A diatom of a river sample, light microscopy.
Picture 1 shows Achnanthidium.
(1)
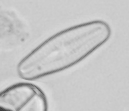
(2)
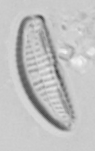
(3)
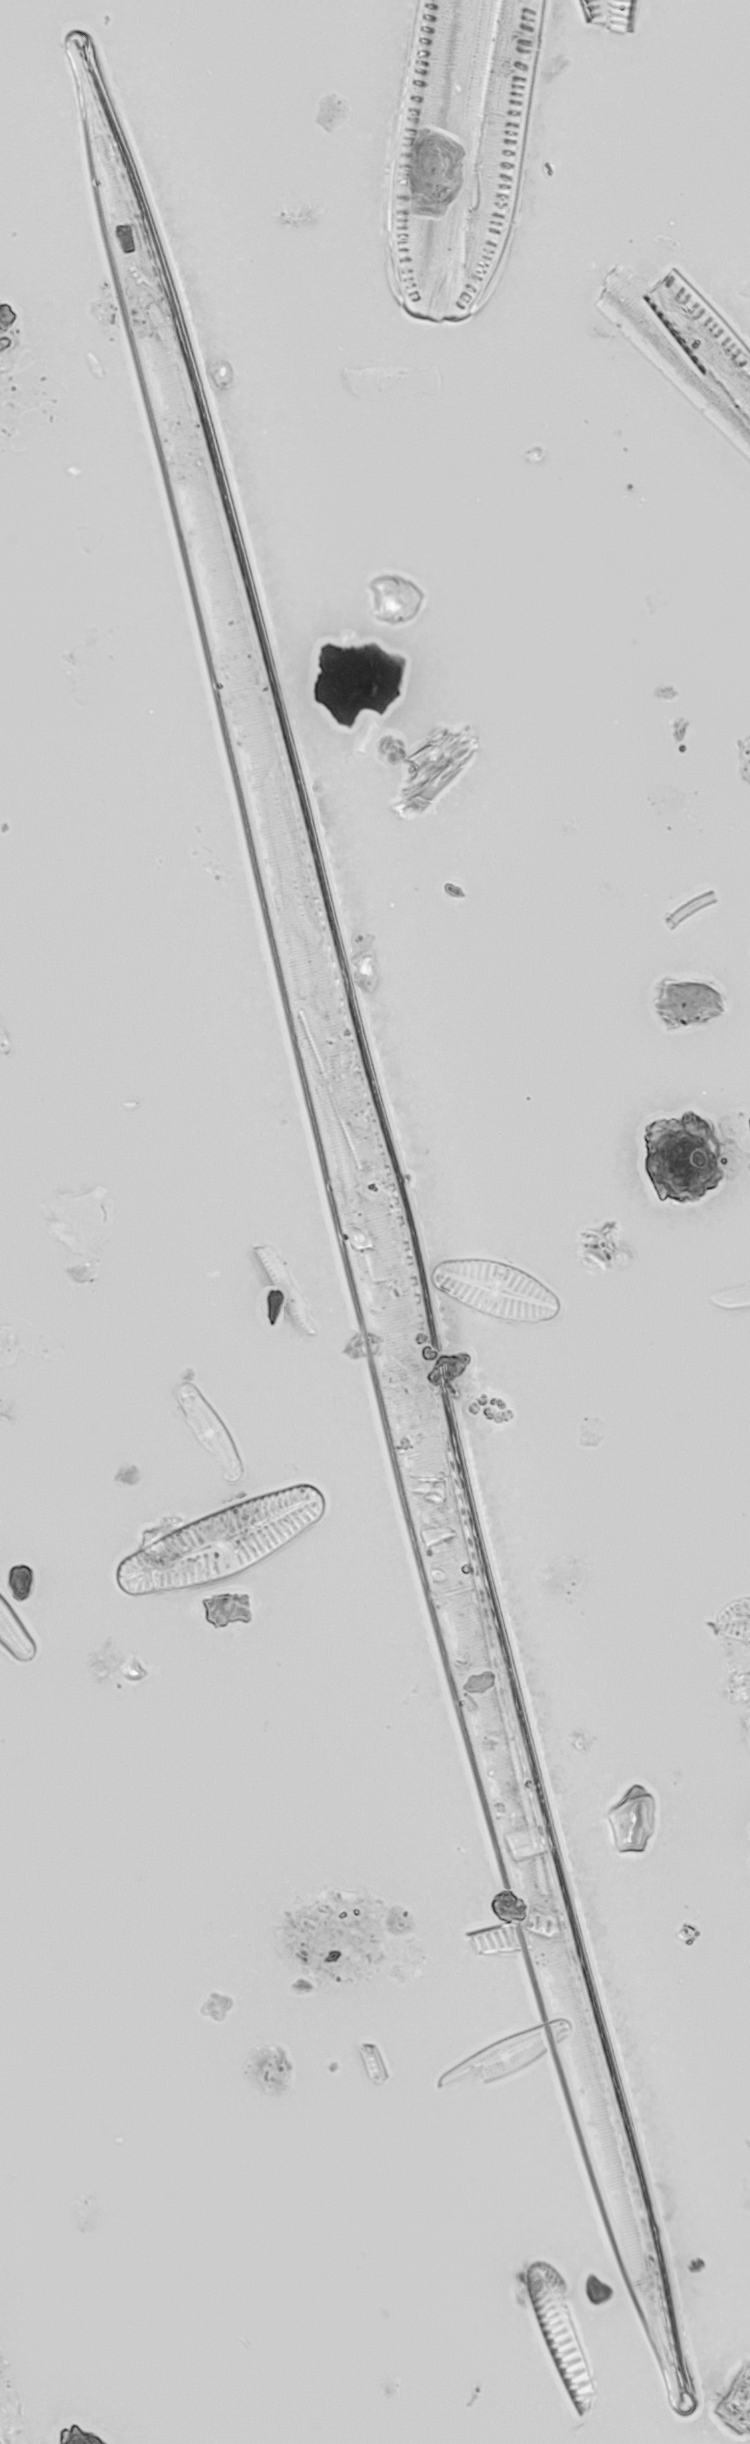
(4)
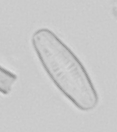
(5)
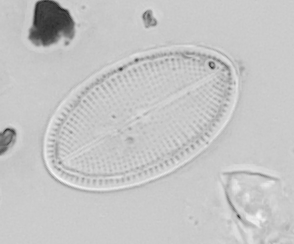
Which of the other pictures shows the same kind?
Picture 4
